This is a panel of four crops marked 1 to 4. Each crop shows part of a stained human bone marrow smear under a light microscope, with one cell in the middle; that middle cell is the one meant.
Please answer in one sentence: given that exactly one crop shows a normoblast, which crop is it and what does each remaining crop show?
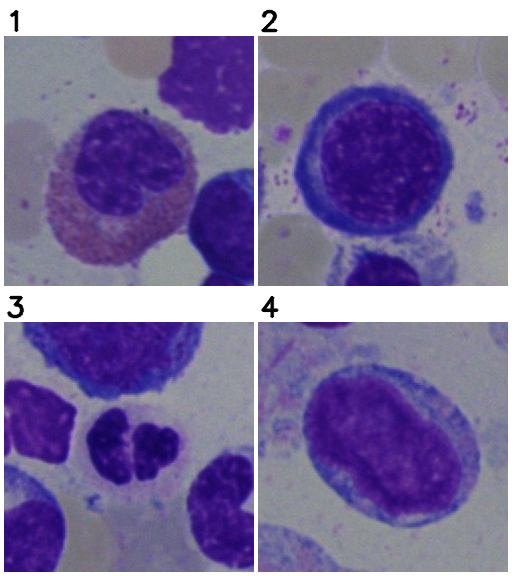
The labels are: crop 2 is a normoblast, and crop 1 is an eosinophil, crop 3 is a neutrophil and crop 4 is a blast.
